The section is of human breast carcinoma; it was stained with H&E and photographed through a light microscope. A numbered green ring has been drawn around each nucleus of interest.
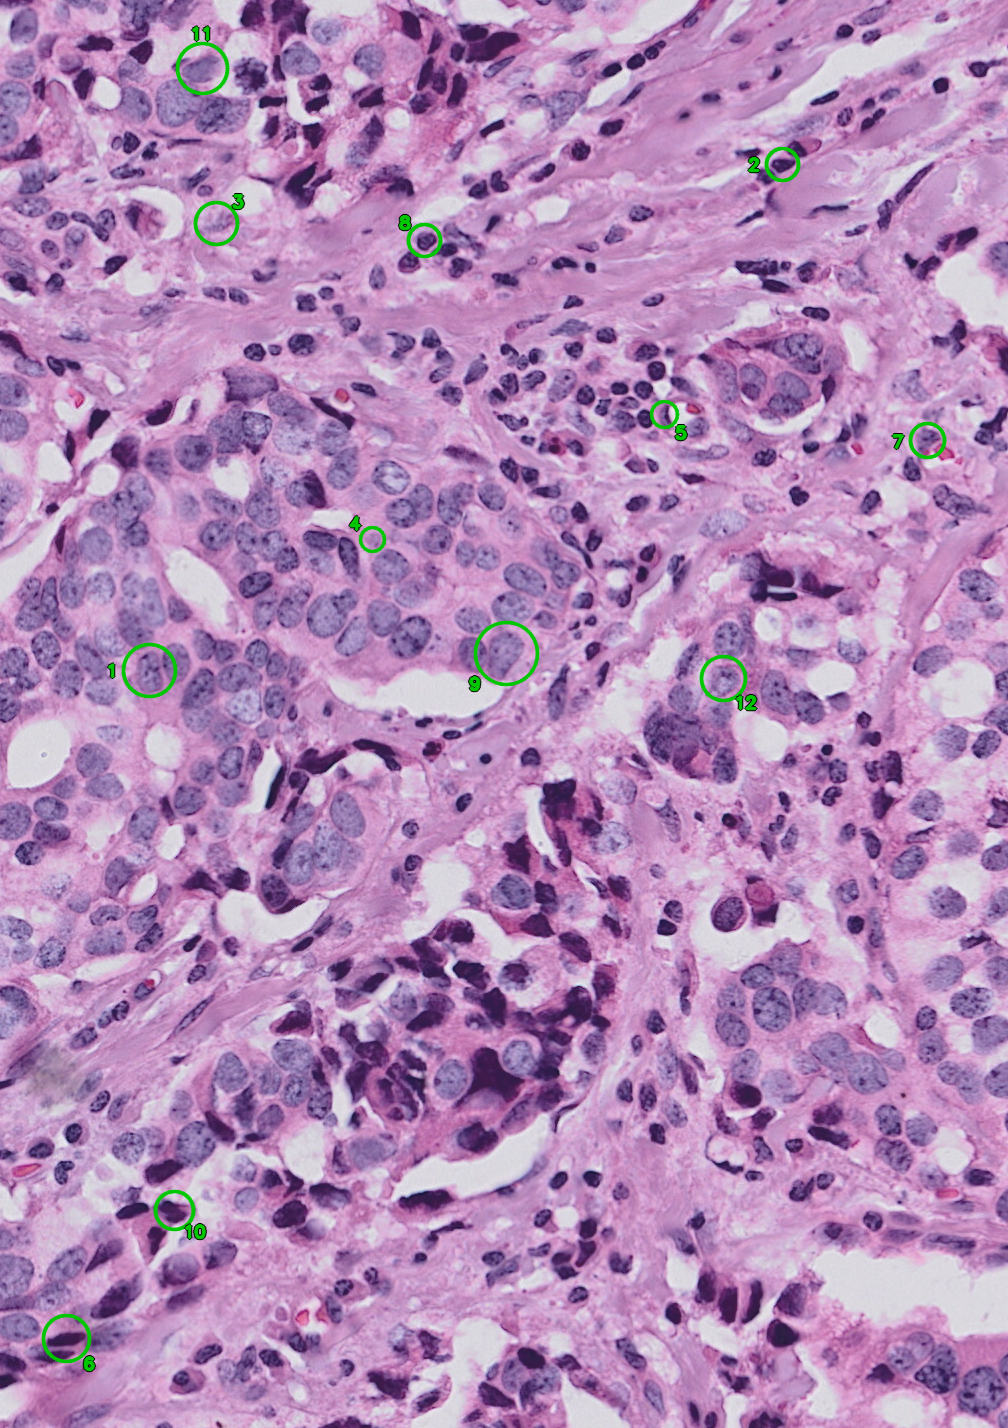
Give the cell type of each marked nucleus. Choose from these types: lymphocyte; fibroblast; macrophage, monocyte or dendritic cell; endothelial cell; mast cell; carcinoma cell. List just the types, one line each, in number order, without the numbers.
carcinoma cell
lymphocyte
fibroblast
carcinoma cell
endothelial cell
carcinoma cell
endothelial cell
lymphocyte
carcinoma cell
carcinoma cell
carcinoma cell
carcinoma cell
